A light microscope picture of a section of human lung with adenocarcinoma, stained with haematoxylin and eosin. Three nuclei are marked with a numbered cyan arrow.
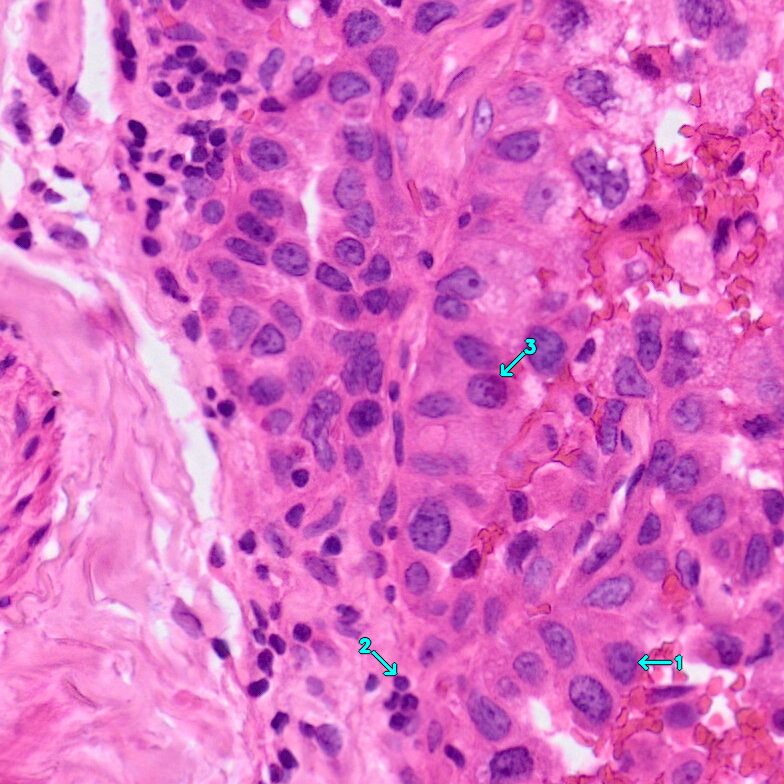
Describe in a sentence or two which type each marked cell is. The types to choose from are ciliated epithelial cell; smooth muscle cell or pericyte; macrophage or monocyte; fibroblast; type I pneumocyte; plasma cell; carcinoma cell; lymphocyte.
Cell 1 is a carcinoma cell, cell 2 is a lymphocyte and cell 3 is a carcinoma cell.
